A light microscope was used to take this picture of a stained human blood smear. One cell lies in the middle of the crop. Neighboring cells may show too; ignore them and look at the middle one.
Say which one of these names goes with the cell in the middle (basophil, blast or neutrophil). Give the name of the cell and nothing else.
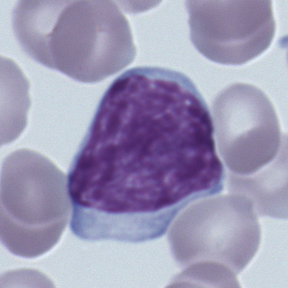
blast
